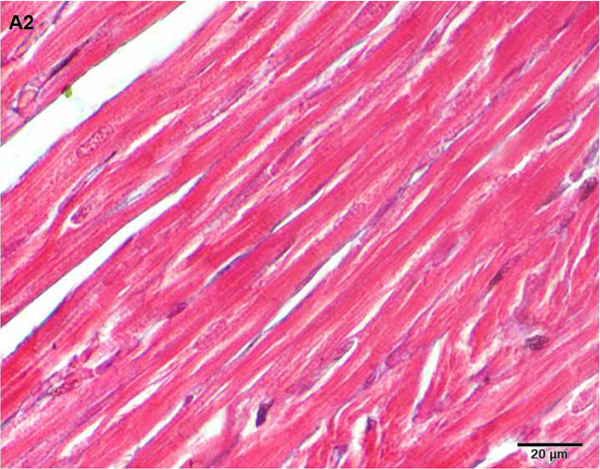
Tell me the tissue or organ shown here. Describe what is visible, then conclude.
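Myocardial fibers. Long red-stained fibers run parallel across the panel. Faint cross-striations are visible along the fibers. Elongated nuclei lie within the fibers.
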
